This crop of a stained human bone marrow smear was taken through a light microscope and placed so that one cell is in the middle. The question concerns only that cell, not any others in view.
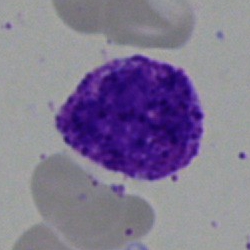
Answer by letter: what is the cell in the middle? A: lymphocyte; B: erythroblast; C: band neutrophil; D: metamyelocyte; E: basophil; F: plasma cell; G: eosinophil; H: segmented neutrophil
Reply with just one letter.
E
